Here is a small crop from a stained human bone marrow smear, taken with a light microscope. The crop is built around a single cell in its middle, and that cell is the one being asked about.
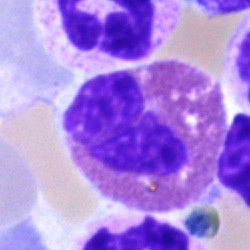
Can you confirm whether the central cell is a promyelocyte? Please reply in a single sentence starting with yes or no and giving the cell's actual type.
No, what is centred in the crop is not a promyelocyte but an eosinophil.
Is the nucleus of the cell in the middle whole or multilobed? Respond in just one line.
Its nucleus is compact and single, with a round, oval or kidney-shaped form.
